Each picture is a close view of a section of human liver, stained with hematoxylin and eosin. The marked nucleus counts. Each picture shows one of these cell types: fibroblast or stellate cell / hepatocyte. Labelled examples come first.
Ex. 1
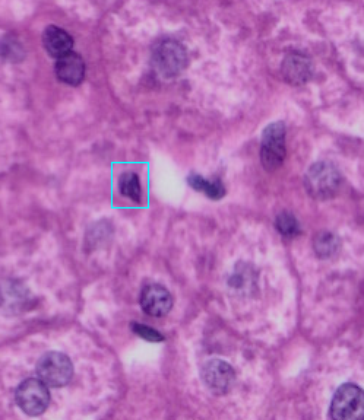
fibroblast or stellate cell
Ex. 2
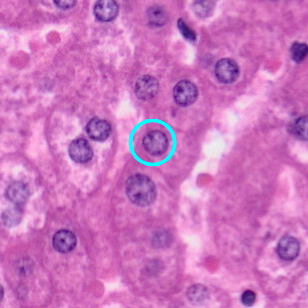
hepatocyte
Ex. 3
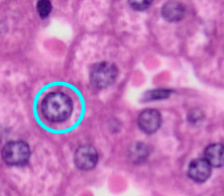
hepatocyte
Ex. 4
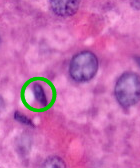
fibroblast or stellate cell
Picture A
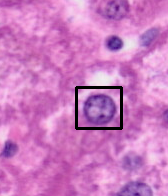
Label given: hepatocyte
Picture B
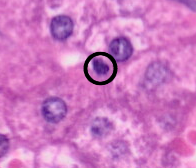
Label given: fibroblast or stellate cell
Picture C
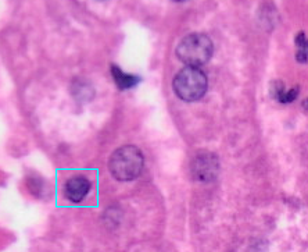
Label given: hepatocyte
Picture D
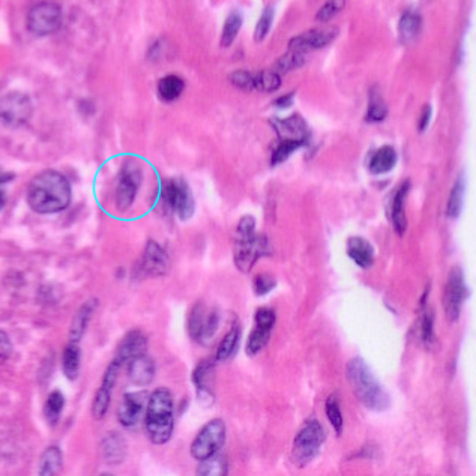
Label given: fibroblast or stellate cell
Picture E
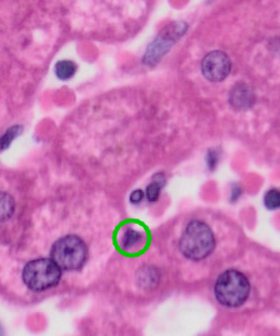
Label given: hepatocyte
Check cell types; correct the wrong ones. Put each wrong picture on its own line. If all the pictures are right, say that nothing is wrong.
C: change hepatocyte to fibroblast or stellate cell
E: change hepatocyte to fibroblast or stellate cell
